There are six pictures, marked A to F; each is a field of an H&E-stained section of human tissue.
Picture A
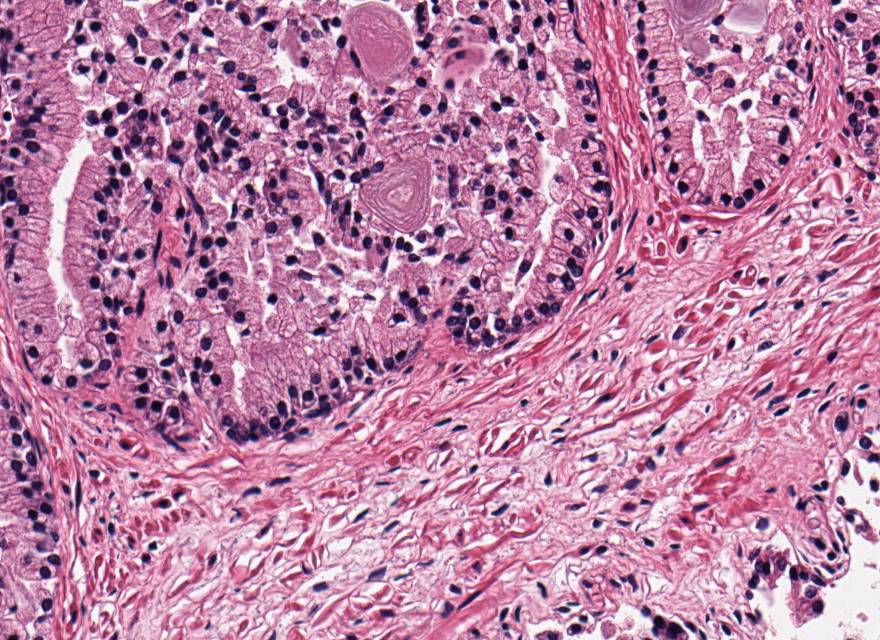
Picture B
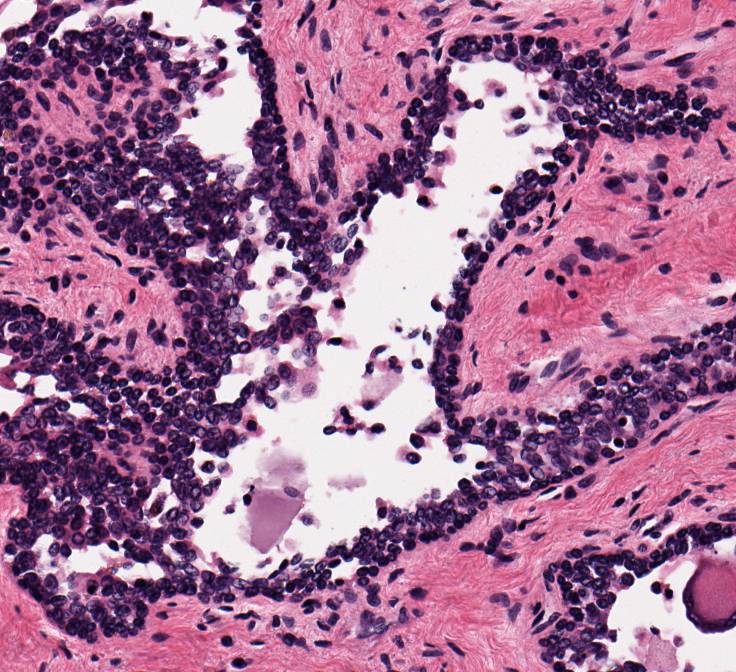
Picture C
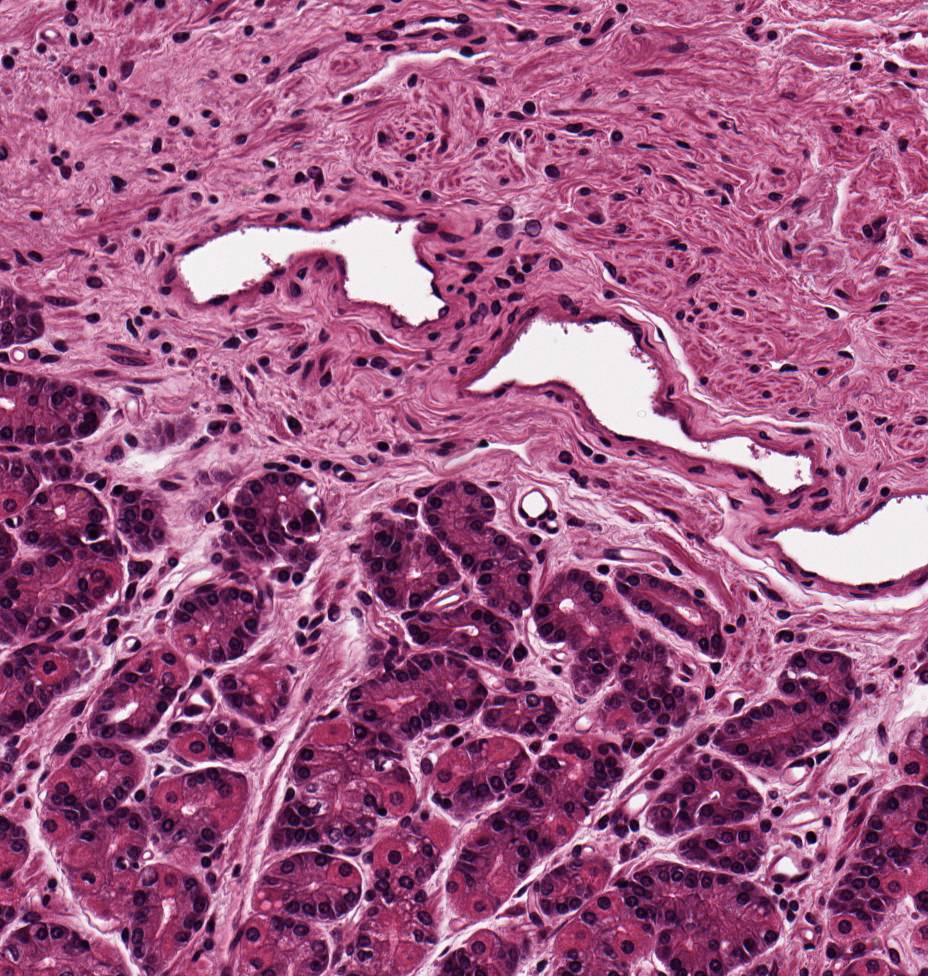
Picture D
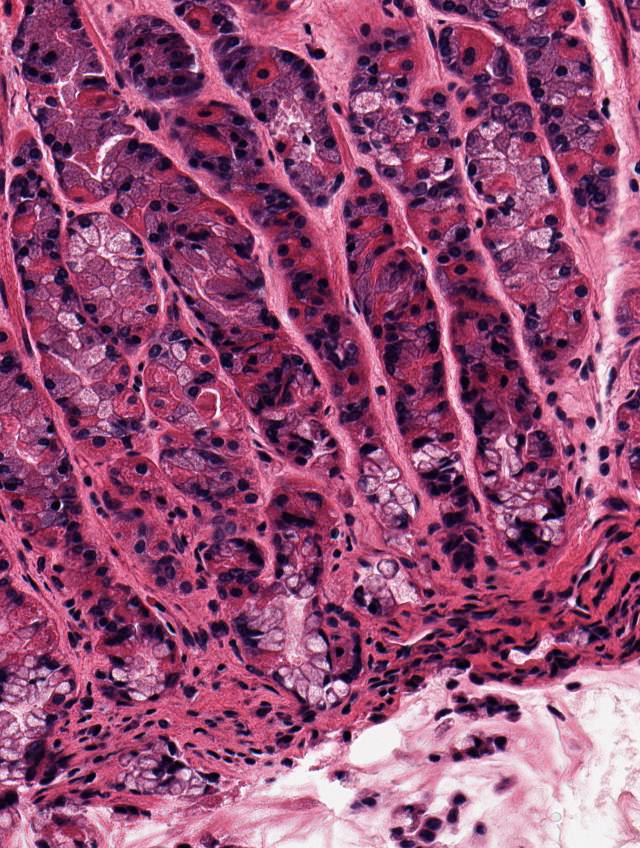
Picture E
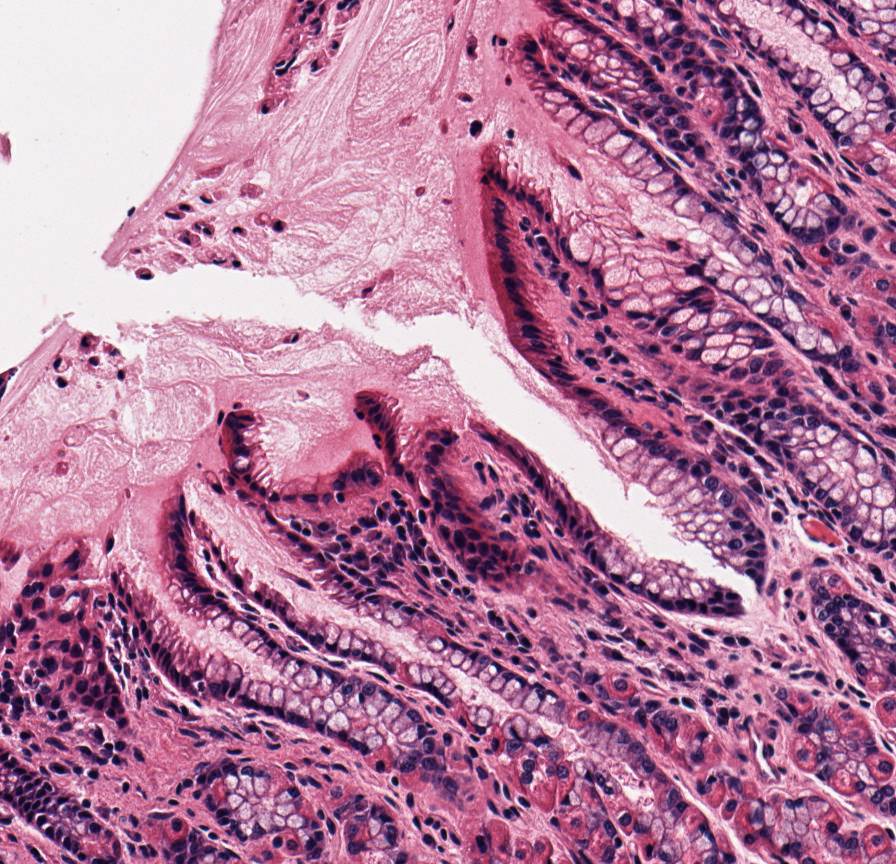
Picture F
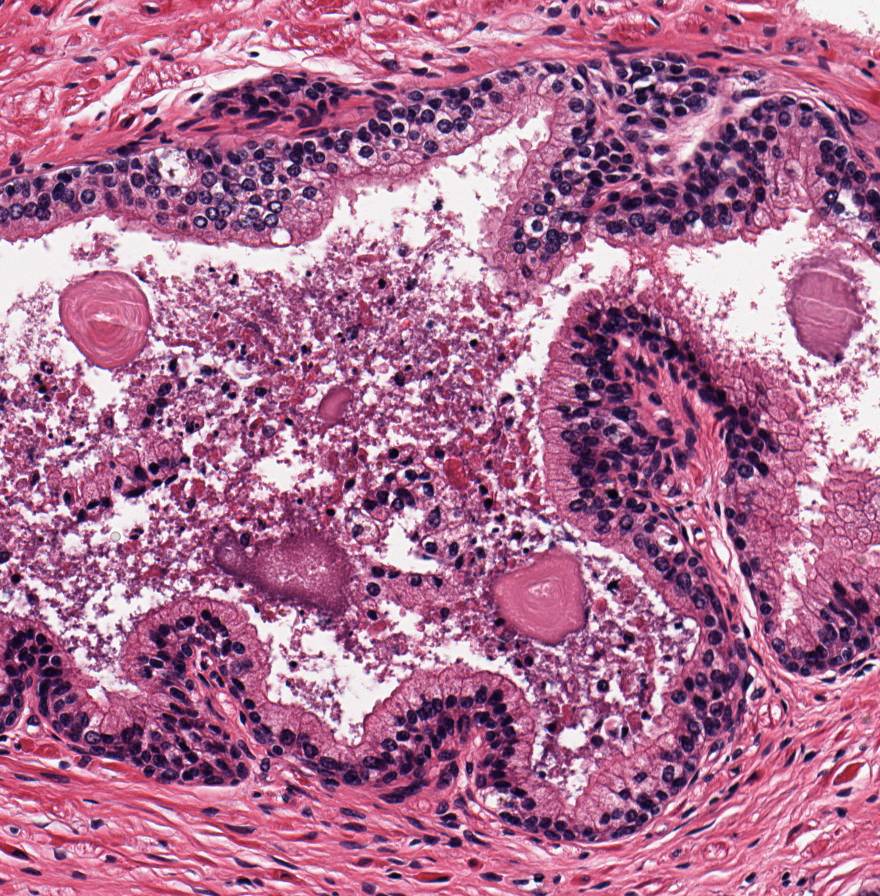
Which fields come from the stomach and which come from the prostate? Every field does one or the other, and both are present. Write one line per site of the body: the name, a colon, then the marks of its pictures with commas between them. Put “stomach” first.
stomach: C, D, E
prostate: A, B, F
